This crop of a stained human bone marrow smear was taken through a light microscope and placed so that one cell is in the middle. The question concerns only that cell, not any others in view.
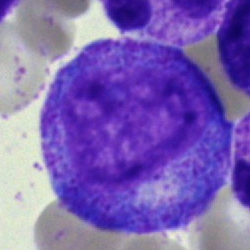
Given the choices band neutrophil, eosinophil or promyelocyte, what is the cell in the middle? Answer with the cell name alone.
promyelocyte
